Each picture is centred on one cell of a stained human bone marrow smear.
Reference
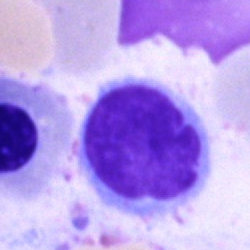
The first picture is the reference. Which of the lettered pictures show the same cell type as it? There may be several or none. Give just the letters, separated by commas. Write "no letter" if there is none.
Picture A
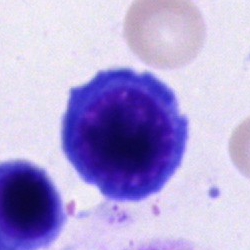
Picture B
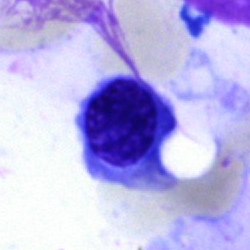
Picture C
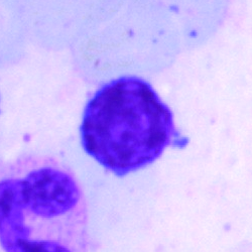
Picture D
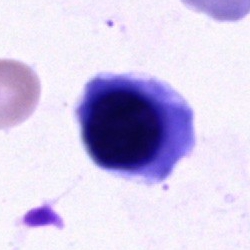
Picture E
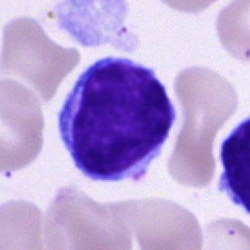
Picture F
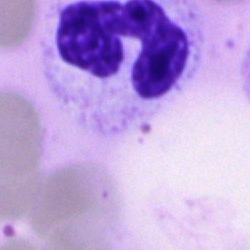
C, E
